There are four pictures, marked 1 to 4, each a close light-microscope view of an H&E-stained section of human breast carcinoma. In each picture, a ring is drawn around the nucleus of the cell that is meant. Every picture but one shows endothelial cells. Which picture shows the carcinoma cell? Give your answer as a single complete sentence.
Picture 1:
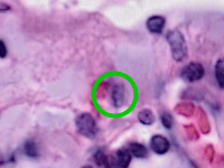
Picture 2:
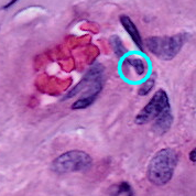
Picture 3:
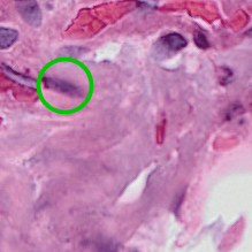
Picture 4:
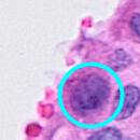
The carcinoma cell is the one in picture 4.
